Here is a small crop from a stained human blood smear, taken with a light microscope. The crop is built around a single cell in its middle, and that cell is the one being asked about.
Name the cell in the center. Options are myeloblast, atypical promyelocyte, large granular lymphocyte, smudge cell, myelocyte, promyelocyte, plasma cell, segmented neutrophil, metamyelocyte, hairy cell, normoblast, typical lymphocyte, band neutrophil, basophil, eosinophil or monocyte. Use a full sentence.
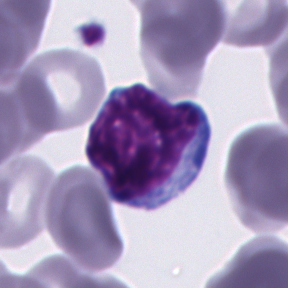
Answering briefly, the cell in the middle is a typical lymphocyte.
